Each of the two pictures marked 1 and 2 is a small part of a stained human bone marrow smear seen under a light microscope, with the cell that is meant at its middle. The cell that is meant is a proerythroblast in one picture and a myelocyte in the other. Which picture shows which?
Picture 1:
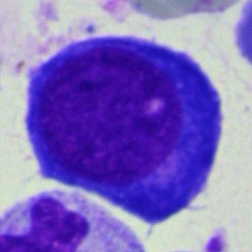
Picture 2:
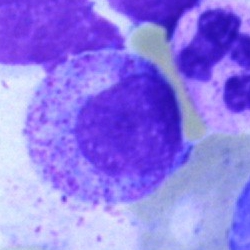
1: proerythroblast
2: myelocyte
